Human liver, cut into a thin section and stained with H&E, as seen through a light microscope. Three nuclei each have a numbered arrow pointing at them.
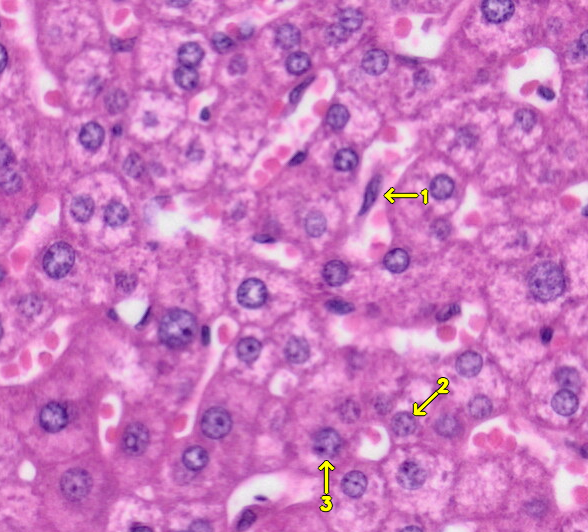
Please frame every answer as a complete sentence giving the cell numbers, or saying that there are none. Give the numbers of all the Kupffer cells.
Cell number 1 alone is a Kupffer cell; the rest are not.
